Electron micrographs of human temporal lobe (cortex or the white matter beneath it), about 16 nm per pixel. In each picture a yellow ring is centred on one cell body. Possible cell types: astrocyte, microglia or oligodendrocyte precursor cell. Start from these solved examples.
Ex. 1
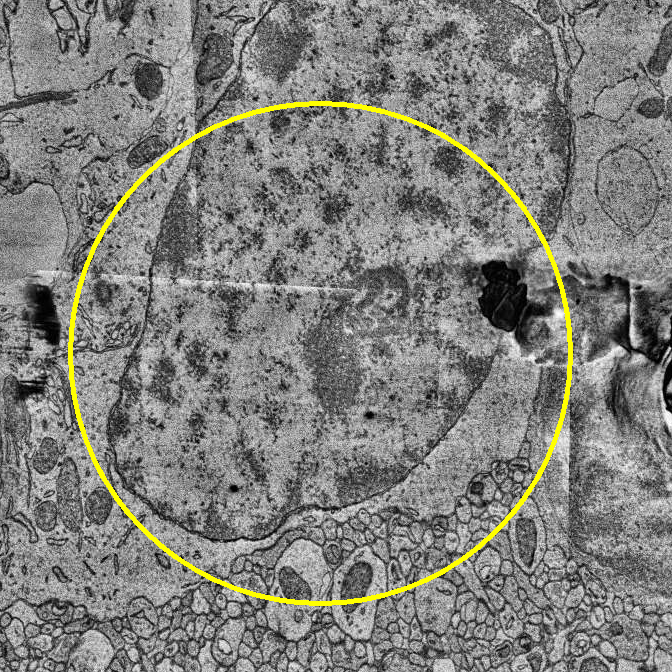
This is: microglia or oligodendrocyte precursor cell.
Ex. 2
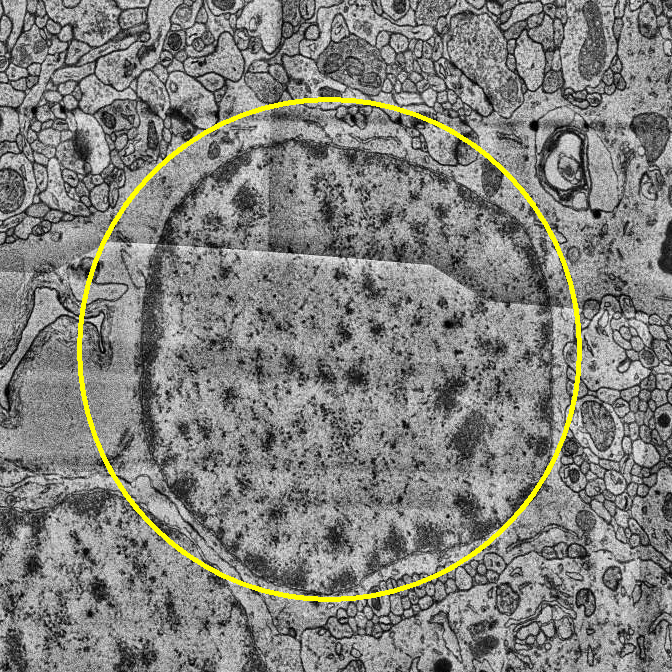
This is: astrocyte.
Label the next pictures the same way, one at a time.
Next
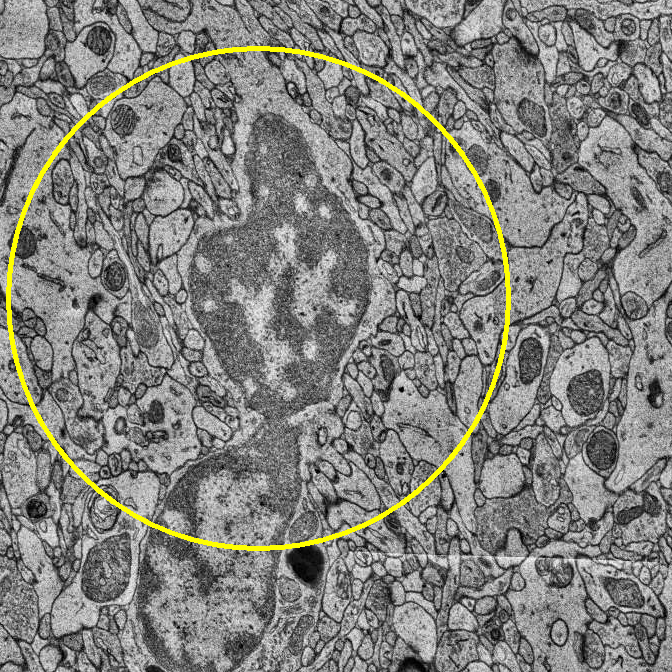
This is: microglia or oligodendrocyte precursor cell.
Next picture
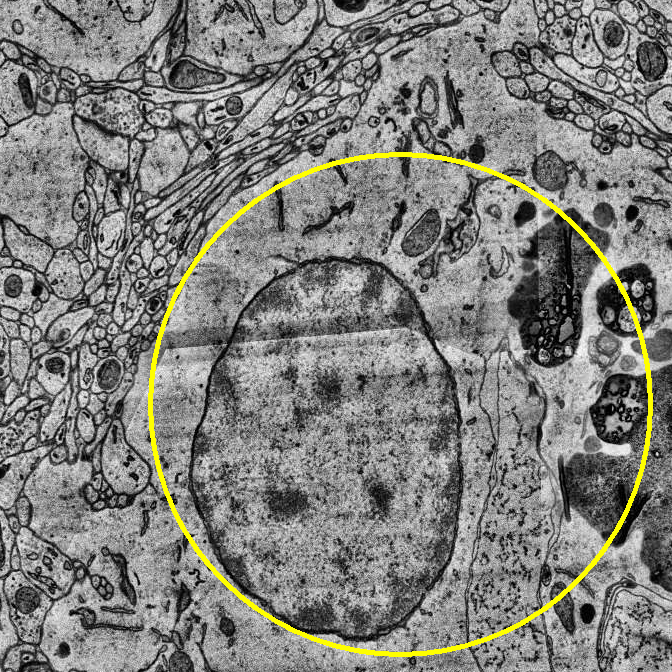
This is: astrocyte.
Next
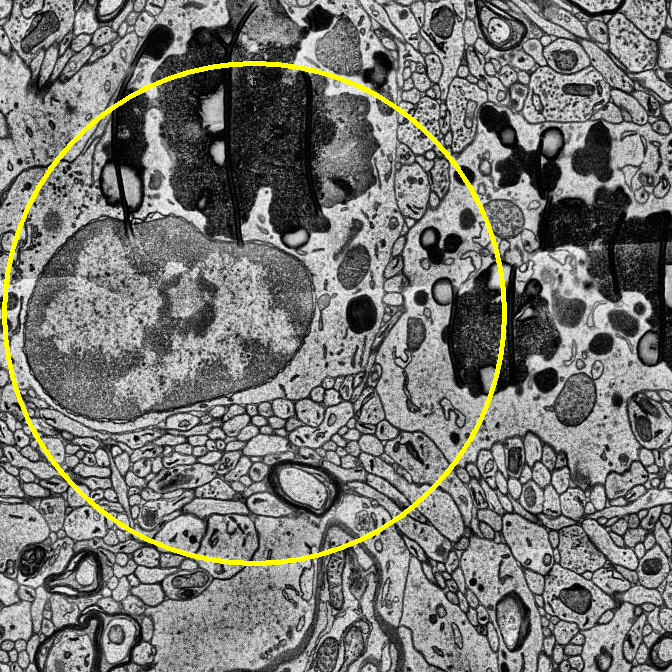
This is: microglia or oligodendrocyte precursor cell.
